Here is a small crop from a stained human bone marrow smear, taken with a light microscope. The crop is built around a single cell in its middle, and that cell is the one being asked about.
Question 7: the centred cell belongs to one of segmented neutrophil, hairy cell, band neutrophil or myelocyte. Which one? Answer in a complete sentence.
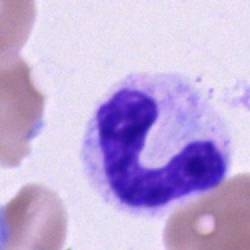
The central element of this crop is a cell, namely a band neutrophil.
